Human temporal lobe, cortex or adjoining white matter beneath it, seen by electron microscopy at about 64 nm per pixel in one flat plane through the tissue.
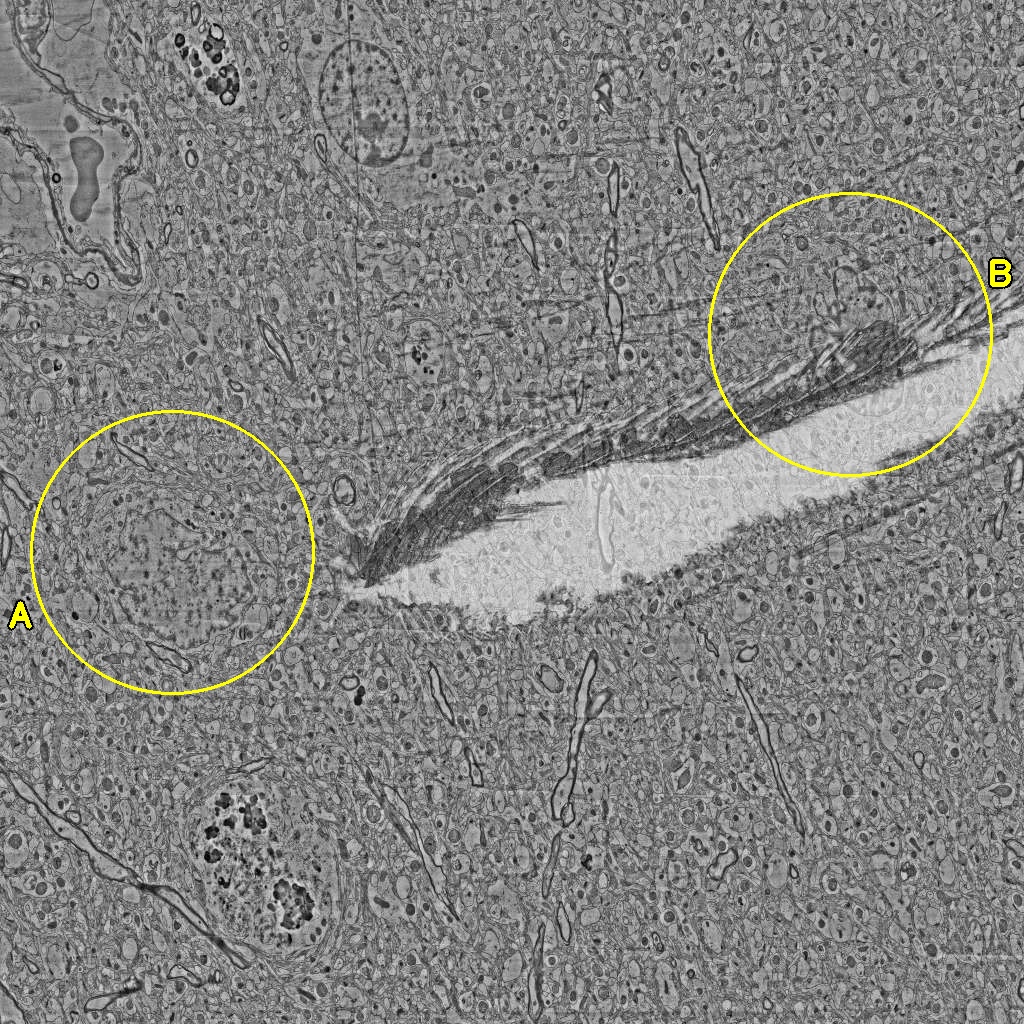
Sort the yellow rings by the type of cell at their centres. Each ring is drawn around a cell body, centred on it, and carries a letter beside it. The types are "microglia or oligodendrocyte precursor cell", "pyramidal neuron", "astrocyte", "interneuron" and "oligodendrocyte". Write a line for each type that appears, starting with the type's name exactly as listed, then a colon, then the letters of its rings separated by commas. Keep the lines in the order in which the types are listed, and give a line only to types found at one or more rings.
microglia or oligodendrocyte precursor cell: B
interneuron: A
